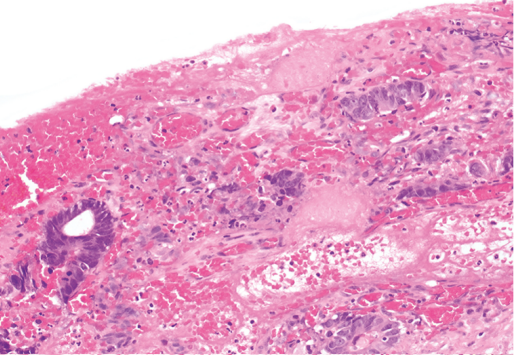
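Much of the field is filled with sheets of closely packed, bright red blood cells spreading between the tumor. Among them lie malignant glands lined by tall columnar cells with crowded, elongated, dark purple nuclei stacked in several layers around small lumens. The glands sit in a pale pink fibrous stroma with scattered inflammatory cells and pale, glassy eosinophilic deposits. The tumor and blood extend close to the upper edge of the tissue.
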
